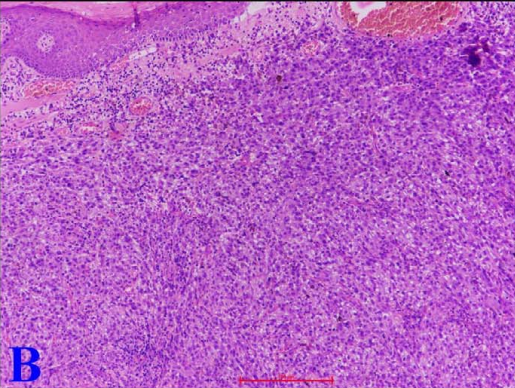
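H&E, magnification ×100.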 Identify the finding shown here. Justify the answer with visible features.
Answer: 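Diffuse sheets composed of epithelioid to spindle cells. Densely packed cells fill most of the field without glandular or nested pattern. Cells range from rounded-polygonal to elongated. A thin surface epithelium lies at the top, separated from the cell sheet.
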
